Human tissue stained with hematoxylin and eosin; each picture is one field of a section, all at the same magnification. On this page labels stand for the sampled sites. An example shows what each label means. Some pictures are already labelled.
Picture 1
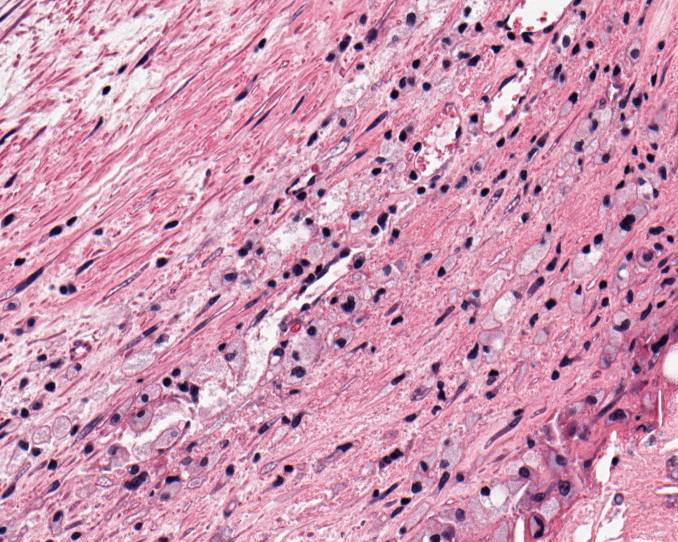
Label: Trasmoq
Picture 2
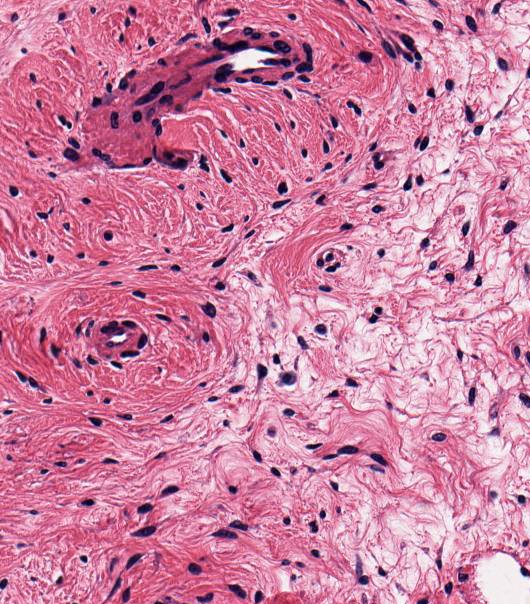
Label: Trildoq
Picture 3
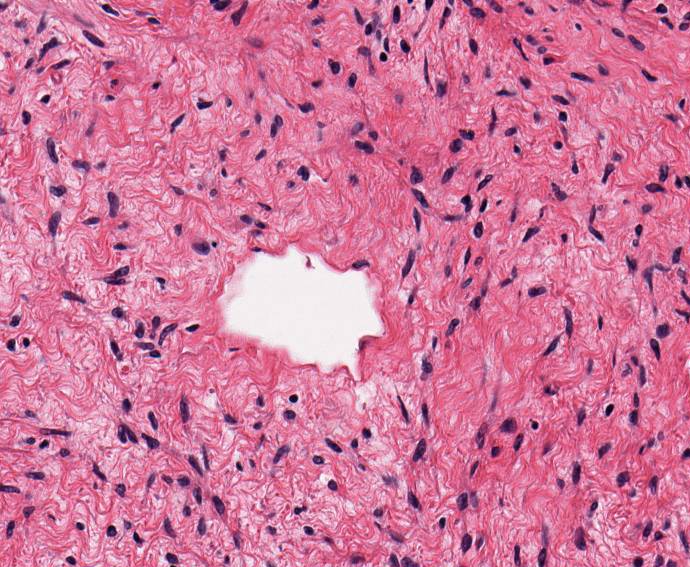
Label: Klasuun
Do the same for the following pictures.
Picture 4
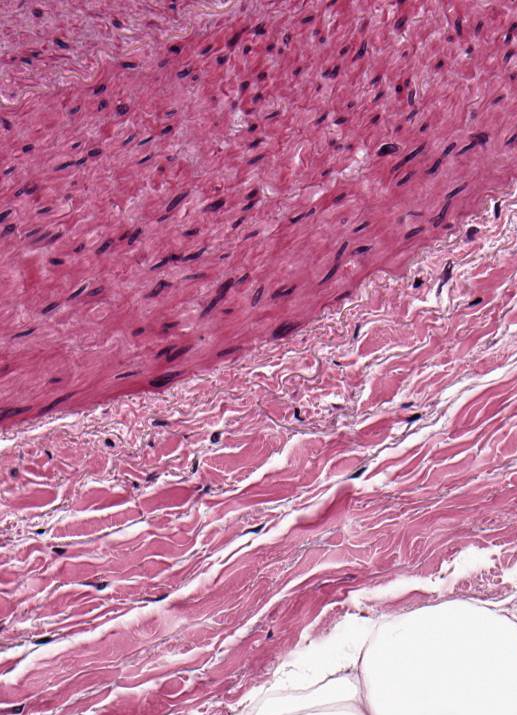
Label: Trasmoq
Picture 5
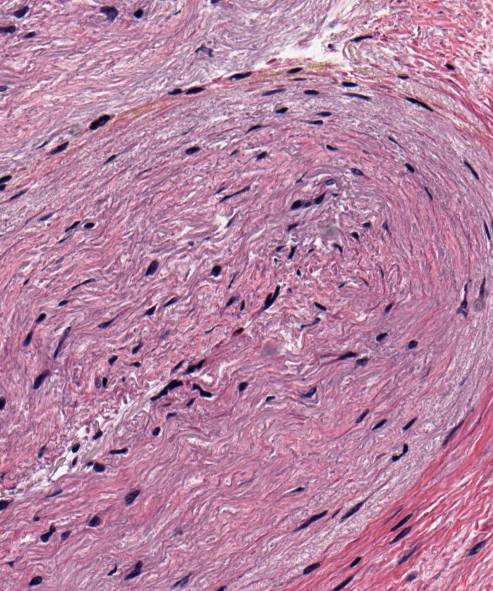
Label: Trasmoq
